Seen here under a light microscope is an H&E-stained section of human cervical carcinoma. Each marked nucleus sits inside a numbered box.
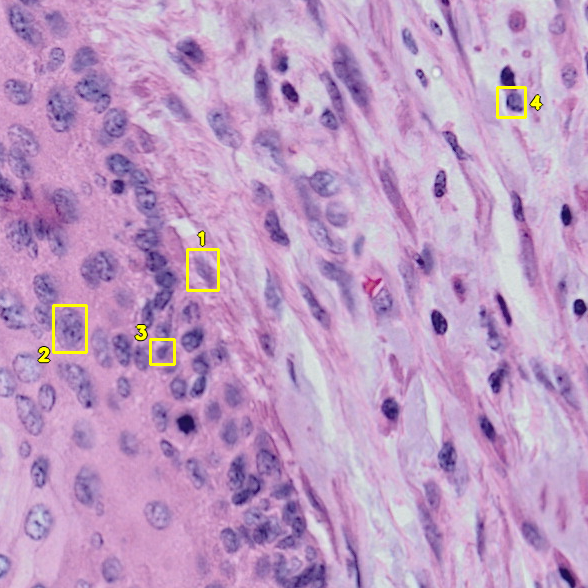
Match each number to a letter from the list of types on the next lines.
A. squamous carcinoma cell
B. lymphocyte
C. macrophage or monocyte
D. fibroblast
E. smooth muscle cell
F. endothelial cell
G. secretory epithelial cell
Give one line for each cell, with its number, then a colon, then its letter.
1: D
2: A
3: A
4: B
